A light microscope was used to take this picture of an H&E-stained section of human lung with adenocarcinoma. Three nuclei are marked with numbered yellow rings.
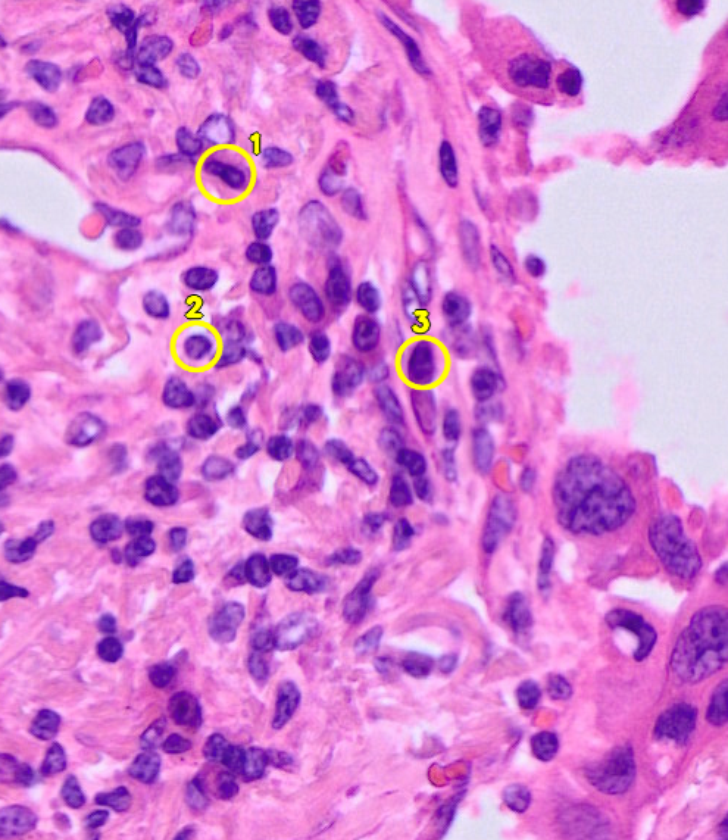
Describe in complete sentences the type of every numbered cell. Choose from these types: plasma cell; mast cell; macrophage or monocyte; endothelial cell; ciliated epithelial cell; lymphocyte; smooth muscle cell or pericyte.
Cell 1 is a plasma cell, cell 2 is a lymphocyte and cell 3 is a plasma cell.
